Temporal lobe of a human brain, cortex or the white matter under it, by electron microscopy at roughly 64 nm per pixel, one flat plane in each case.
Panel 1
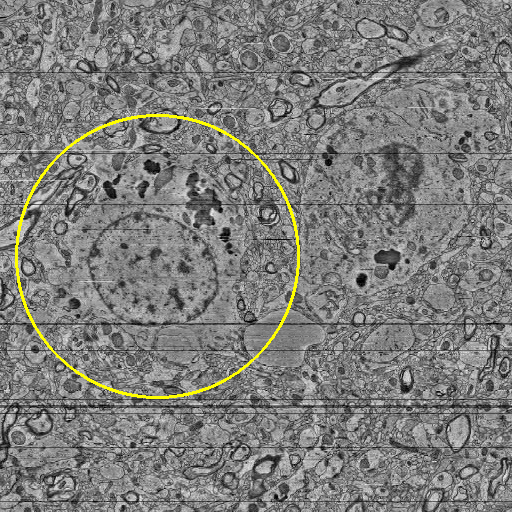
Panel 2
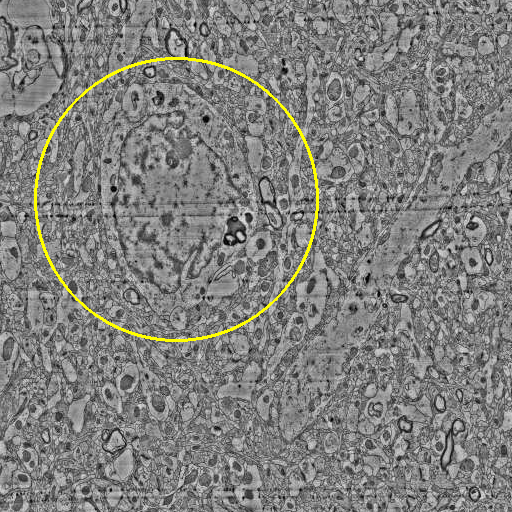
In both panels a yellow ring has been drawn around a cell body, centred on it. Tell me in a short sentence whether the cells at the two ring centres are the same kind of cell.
No, they are two kinds of cell.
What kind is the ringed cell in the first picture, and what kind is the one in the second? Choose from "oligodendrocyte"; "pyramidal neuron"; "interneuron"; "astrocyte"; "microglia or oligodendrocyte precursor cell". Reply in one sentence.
The first cell is an astrocyte; the second is an interneuron.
